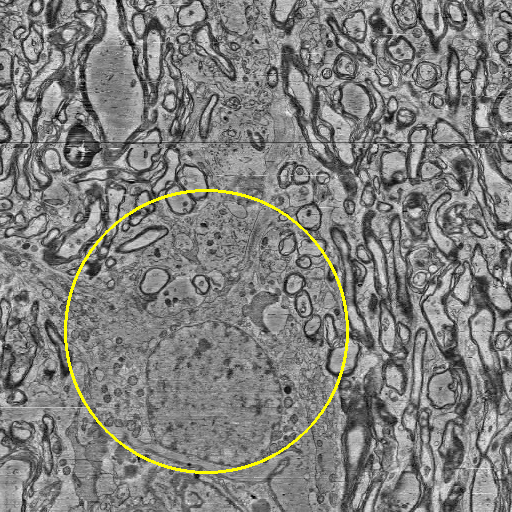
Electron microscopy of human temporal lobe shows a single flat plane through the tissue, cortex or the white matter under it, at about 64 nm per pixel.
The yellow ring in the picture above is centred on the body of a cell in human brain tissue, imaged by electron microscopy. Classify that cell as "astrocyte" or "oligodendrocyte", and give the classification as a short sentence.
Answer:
The cell in the middle of the ring is an astrocyte.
